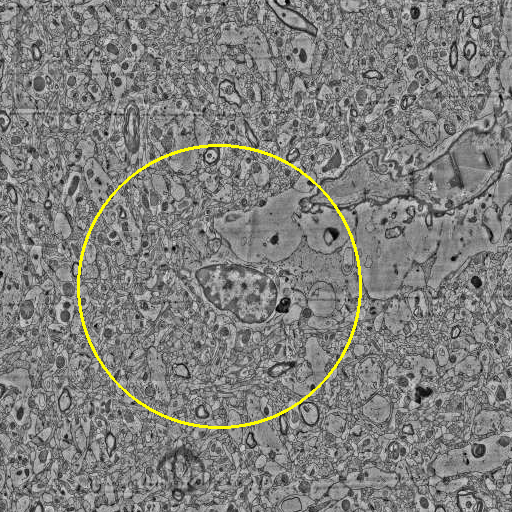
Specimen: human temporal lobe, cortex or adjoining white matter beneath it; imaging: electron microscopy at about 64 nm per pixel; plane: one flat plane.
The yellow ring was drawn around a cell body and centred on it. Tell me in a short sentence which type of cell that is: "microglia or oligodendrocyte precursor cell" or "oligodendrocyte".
The cell at the ring's centre is a microglial cell or oligodendrocyte precursor cell.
